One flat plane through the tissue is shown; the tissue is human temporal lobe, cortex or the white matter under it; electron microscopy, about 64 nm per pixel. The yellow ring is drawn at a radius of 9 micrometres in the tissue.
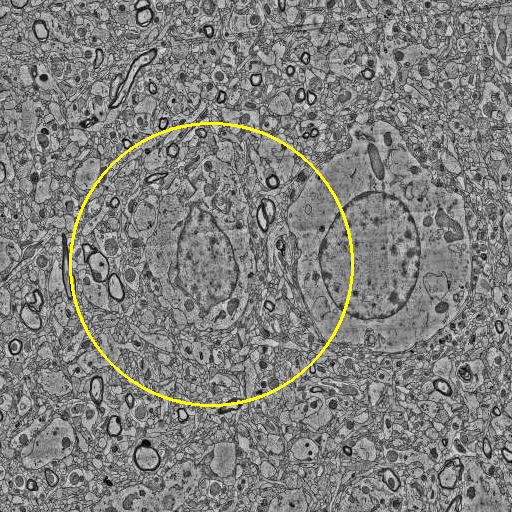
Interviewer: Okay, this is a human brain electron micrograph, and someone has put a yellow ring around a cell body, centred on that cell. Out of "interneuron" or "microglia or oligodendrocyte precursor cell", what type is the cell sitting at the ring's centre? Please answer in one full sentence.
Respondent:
The cell at the centre of the yellow ring in this picture is an interneuron.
